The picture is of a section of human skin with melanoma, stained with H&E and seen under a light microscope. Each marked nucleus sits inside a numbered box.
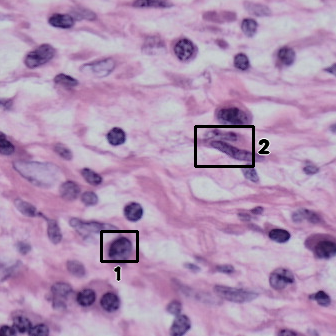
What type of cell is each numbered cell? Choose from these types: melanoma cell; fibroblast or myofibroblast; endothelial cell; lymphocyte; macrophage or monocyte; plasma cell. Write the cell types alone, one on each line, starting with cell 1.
plasma cell
fibroblast or myofibroblast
